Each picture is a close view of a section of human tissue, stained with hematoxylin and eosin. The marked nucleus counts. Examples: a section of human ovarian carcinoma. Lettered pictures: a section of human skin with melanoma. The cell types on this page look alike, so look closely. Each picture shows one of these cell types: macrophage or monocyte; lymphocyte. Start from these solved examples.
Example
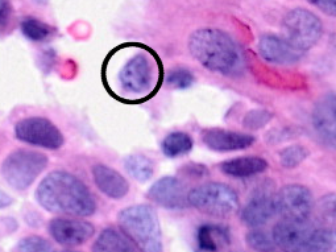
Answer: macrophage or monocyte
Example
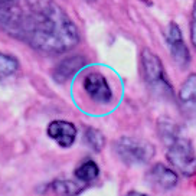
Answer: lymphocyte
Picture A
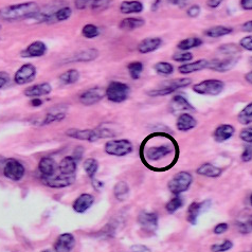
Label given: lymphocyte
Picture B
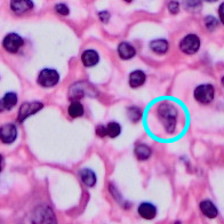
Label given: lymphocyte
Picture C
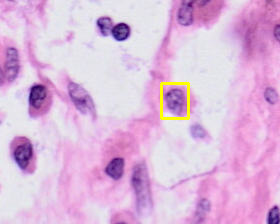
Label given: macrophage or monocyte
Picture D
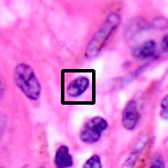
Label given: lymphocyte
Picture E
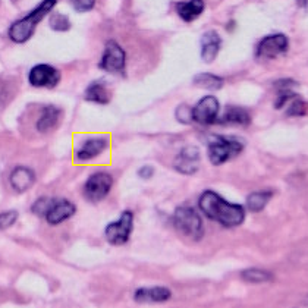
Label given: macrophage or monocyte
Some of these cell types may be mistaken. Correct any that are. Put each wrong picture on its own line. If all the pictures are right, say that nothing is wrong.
B should be macrophage or monocyte, not lymphocyte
